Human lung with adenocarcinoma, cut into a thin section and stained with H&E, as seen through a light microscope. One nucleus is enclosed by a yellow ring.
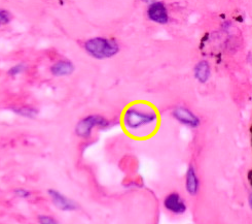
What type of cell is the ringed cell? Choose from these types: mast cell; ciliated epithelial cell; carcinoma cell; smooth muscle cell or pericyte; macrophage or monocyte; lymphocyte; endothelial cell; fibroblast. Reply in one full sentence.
The ringed cell is an endothelial cell.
